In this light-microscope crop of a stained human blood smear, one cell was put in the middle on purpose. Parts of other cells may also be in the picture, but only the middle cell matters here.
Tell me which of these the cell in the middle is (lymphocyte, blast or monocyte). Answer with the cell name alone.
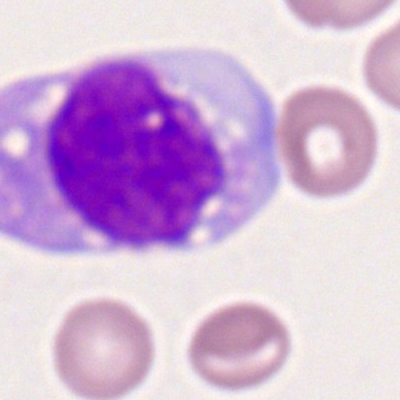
monocyte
